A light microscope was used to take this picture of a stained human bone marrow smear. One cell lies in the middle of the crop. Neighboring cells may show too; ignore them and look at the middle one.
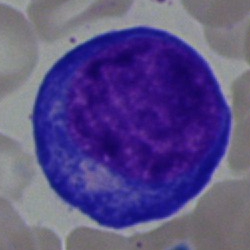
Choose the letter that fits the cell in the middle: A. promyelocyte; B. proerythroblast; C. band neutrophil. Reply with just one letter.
B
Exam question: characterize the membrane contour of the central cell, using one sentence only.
The outline traces a smooth curve with no projections along it.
